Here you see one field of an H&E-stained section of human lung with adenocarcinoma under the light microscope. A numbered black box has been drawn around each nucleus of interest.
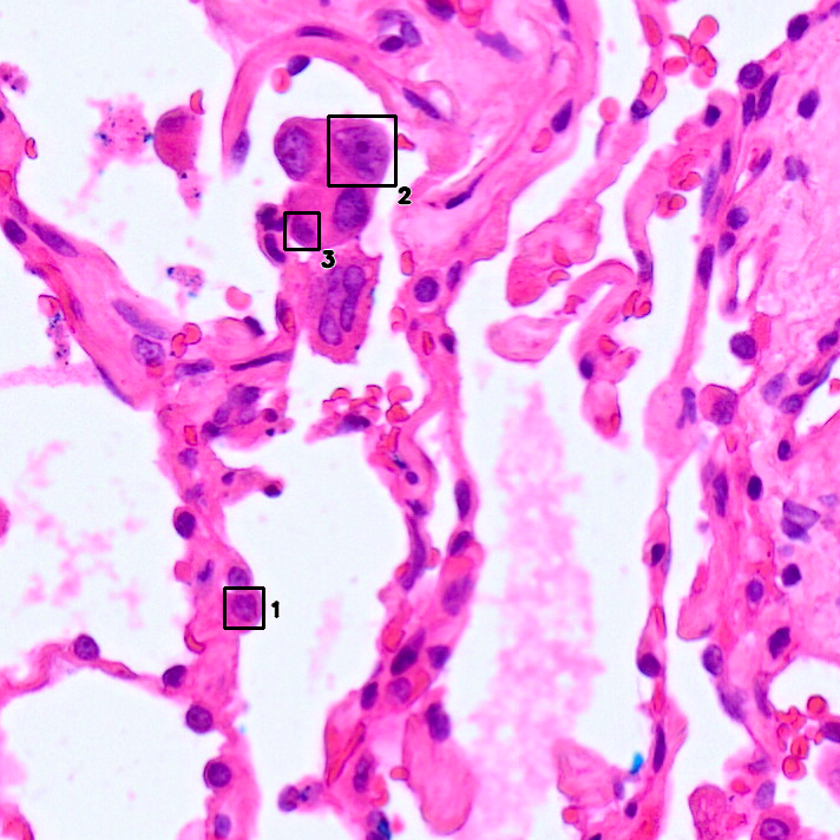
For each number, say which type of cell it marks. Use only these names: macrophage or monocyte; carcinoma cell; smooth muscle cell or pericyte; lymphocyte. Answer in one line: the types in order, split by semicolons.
macrophage or monocyte; carcinoma cell; carcinoma cell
